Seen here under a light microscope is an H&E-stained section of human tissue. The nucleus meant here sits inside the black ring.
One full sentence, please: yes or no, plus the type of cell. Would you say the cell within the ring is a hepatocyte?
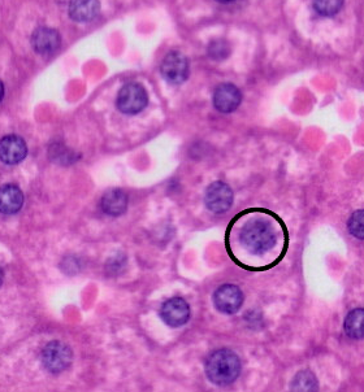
Yes, the cell within the ring counts as a hepatocyte in this tissue.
